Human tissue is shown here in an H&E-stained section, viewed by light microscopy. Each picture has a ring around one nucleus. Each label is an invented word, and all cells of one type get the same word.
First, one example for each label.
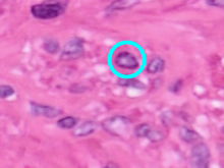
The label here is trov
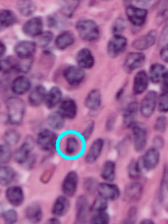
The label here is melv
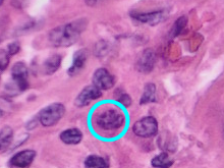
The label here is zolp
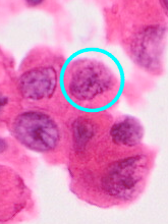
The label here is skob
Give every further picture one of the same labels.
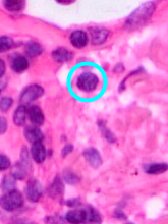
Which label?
melv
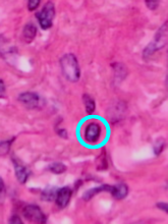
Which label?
trov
